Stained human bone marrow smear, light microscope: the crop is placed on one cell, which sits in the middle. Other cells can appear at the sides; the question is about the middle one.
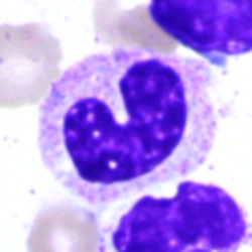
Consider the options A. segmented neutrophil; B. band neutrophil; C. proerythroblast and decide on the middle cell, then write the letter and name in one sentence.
Here the central cell is a band neutrophil, and option B is correct.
